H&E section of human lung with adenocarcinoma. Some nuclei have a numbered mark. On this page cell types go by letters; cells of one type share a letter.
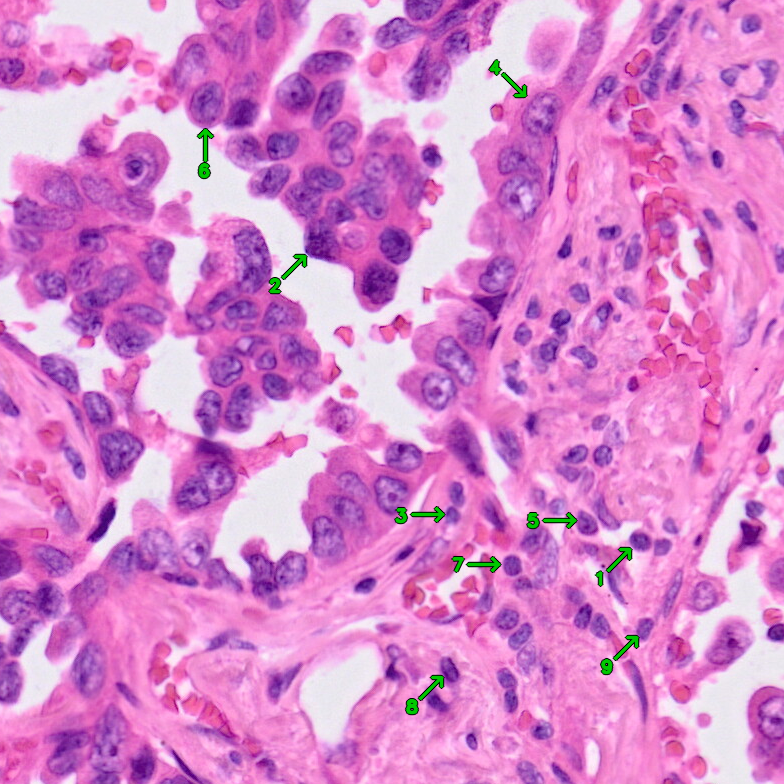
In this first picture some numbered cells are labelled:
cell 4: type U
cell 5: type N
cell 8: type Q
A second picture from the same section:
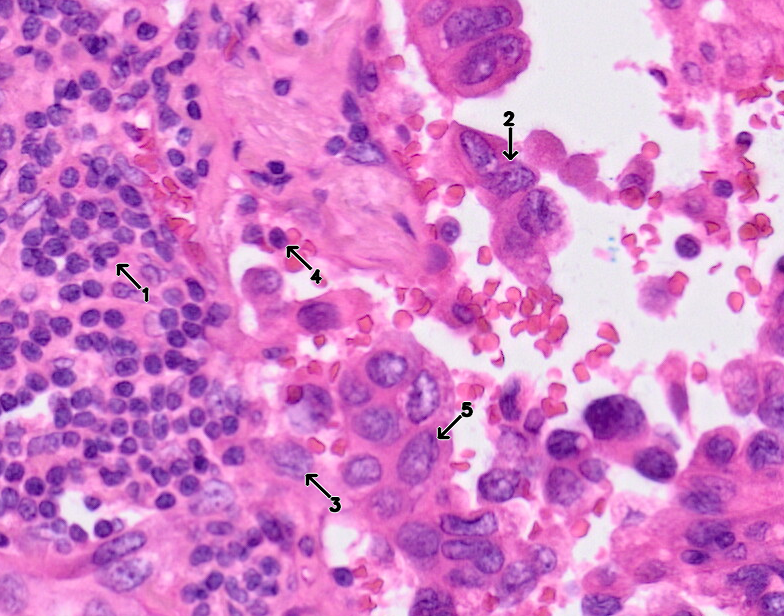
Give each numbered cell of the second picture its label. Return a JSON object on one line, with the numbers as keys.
{"1": "type N", "2": "type U", "3": "type U", "4": "type N", "5": "type U"}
